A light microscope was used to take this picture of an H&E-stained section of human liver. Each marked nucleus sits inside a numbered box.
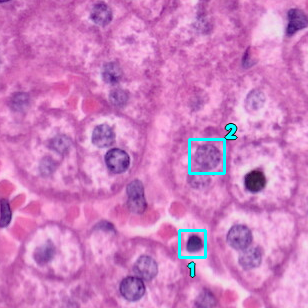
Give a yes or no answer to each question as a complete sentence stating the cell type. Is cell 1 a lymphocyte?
Yes, the cell that number 1 points to is a lymphocyte.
